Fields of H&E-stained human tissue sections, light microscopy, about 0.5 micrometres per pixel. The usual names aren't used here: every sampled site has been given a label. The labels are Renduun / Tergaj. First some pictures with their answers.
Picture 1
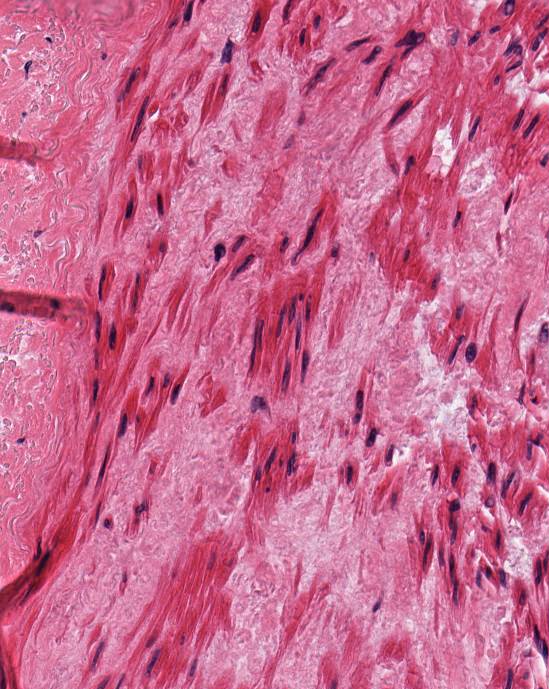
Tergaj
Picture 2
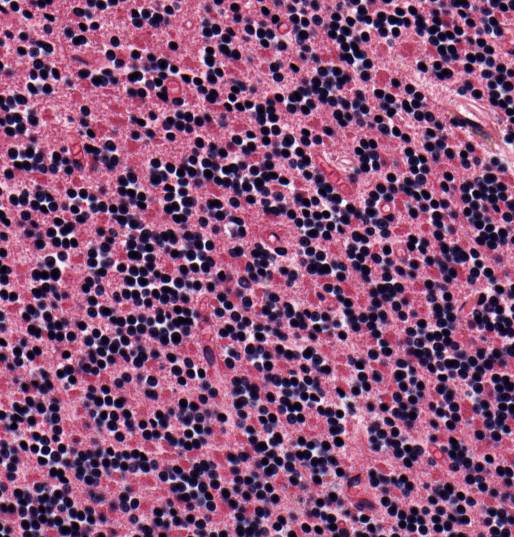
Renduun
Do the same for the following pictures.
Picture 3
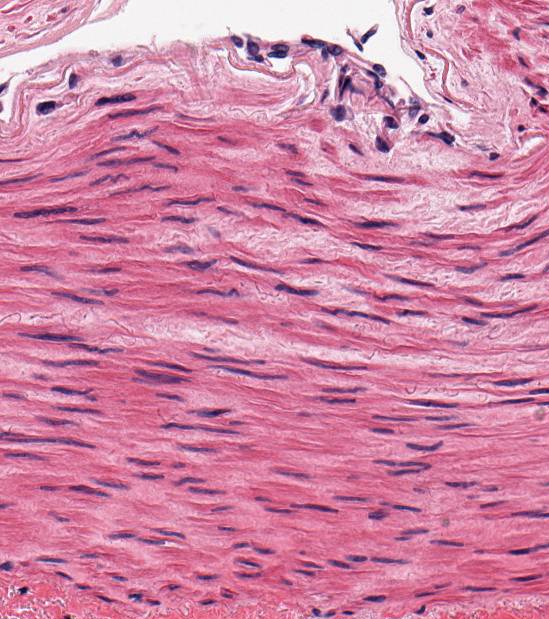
Tergaj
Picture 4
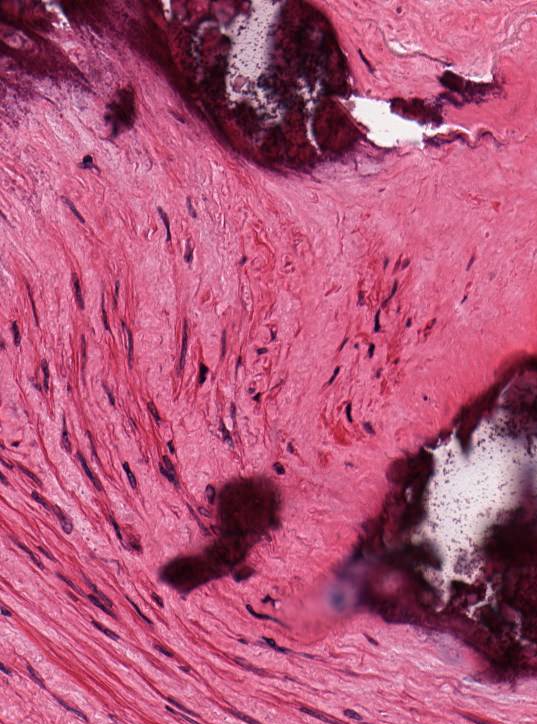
Tergaj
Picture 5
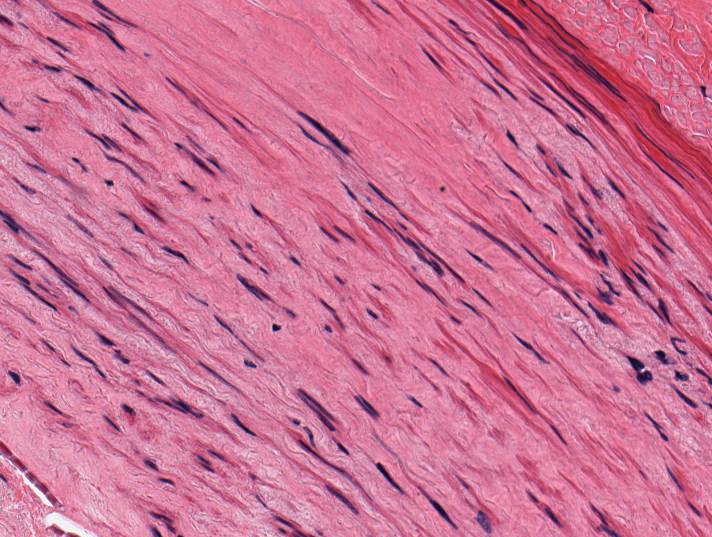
Tergaj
